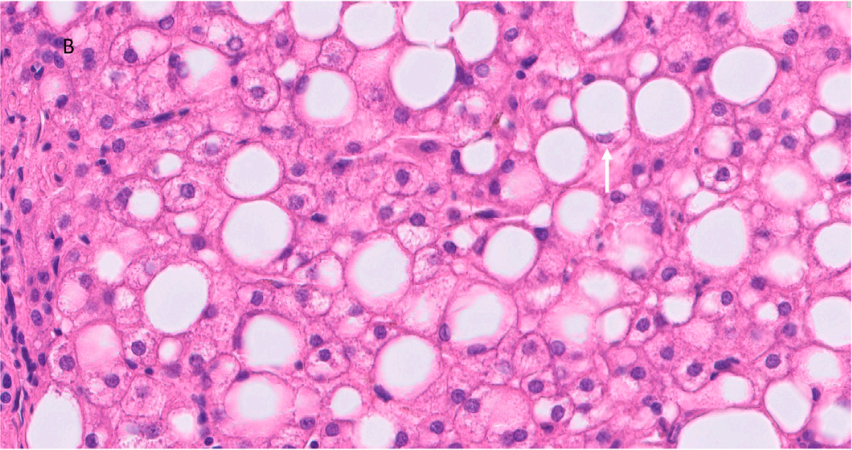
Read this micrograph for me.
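Liver parenchyma with many steatotic hepatocytes, each holding a single large, round, empty-looking vacuole. In these cells the nucleus is pushed to the edge and flattened against the rim. Hepatocytes without vacuoles have pink, finely granular cytoplasm and round central nuclei with visible nucleoli. A band of denser tissue with small elongated nuclei runs along the left edge.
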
